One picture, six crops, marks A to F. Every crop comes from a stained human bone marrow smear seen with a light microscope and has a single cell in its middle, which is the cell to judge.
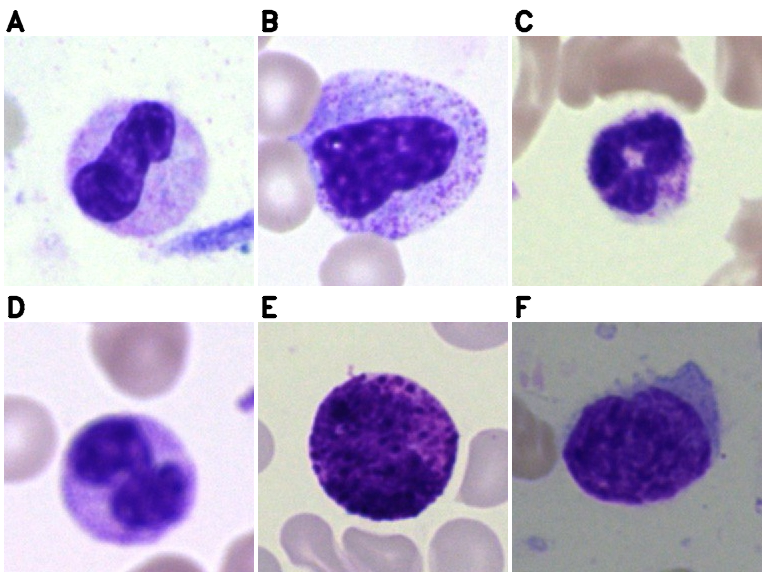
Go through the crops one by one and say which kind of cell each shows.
A: band neutrophil
B: metamyelocyte
C: segmented neutrophil
D: segmented neutrophil
E: basophil
F: hairy cell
